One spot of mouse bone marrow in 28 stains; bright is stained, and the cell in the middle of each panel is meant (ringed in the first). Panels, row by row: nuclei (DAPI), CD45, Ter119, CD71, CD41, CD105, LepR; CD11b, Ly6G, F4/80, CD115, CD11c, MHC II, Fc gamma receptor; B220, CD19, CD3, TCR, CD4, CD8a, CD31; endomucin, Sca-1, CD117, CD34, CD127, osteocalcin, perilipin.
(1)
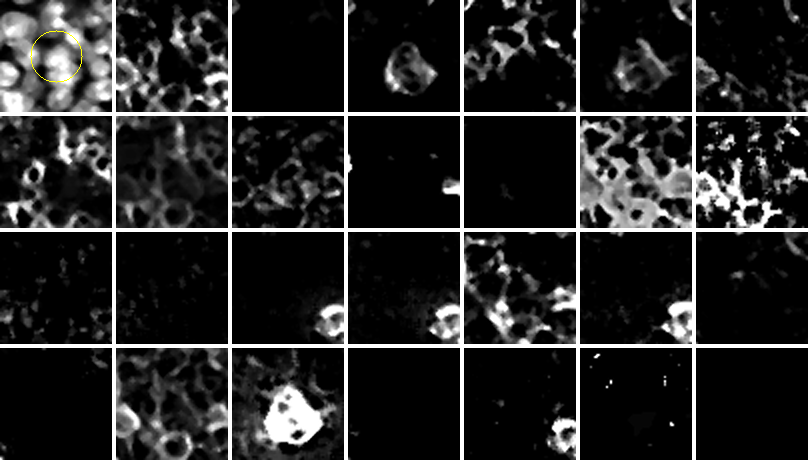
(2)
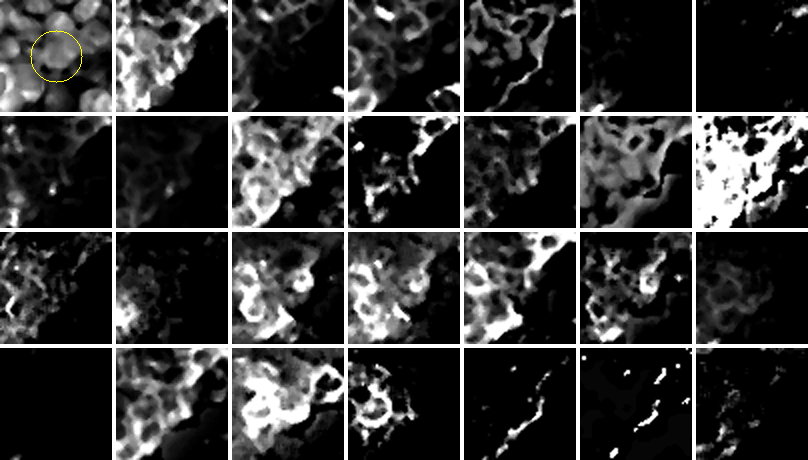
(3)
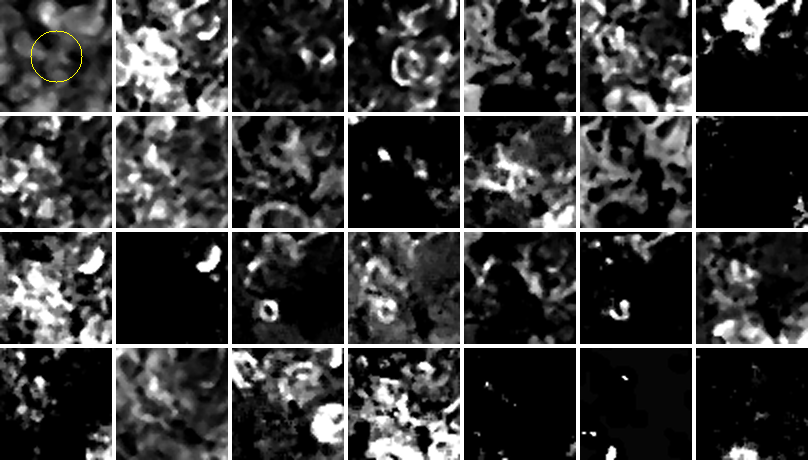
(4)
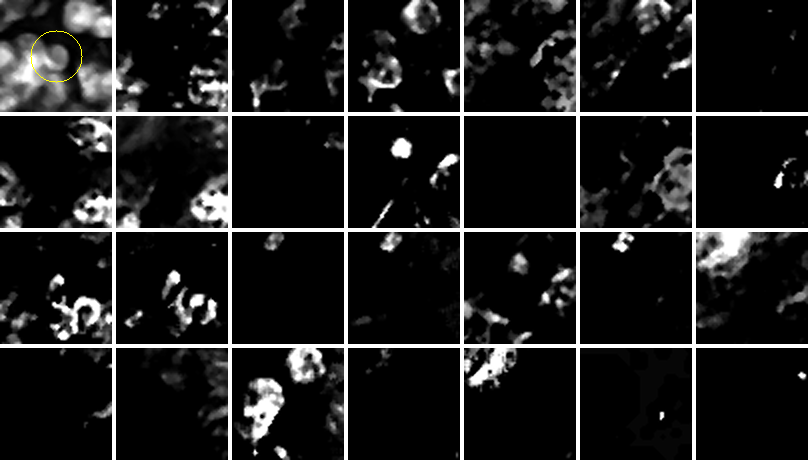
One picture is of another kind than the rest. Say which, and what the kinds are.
Picture 4 shows a B cell; the rest show erythroid progenitors (CFU-E).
